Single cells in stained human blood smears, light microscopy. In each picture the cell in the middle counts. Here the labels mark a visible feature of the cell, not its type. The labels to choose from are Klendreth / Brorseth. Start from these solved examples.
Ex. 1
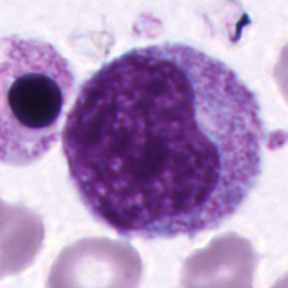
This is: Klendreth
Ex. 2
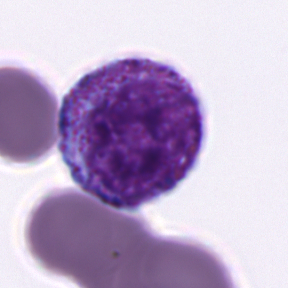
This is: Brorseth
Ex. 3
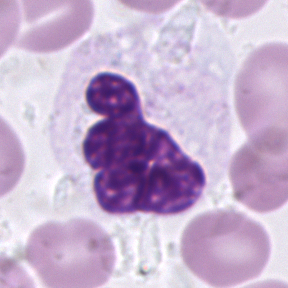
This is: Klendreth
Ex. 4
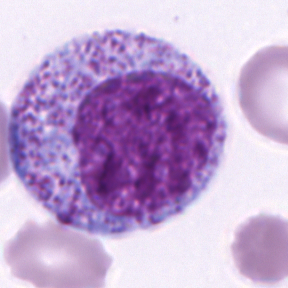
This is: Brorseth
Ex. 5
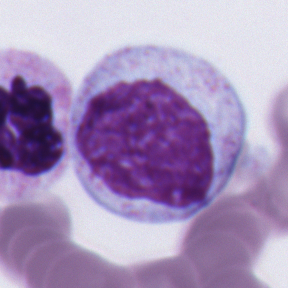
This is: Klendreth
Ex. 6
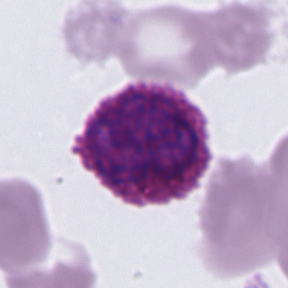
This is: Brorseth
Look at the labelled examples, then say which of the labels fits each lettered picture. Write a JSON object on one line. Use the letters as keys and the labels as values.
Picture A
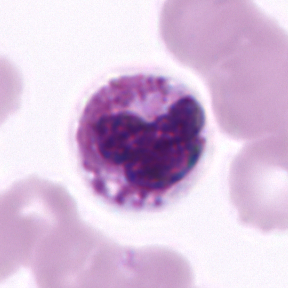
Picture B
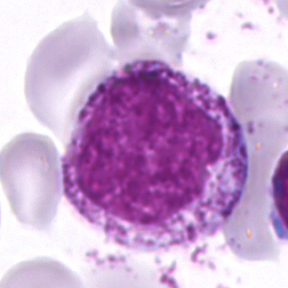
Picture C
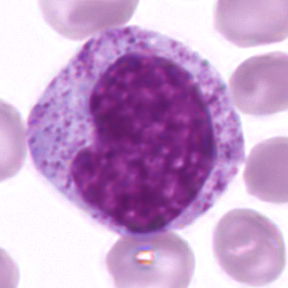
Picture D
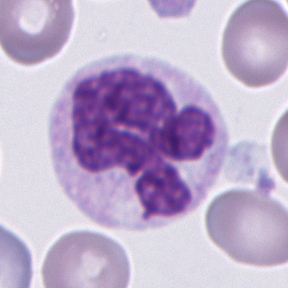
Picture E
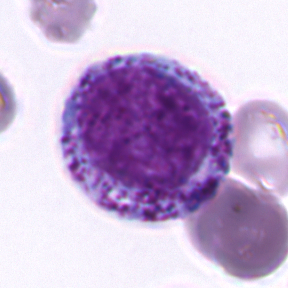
{"A": "Brorseth", "B": "Brorseth", "C": "Klendreth", "D": "Klendreth", "E": "Brorseth"}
